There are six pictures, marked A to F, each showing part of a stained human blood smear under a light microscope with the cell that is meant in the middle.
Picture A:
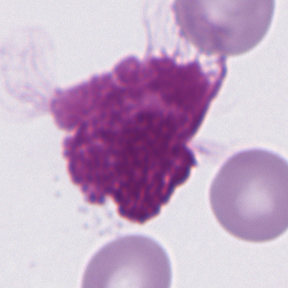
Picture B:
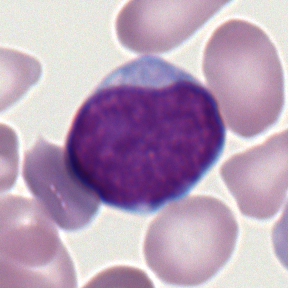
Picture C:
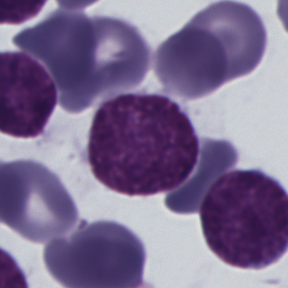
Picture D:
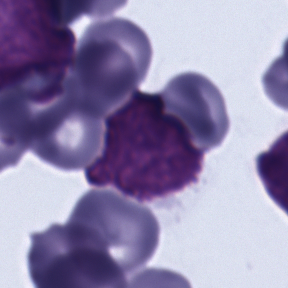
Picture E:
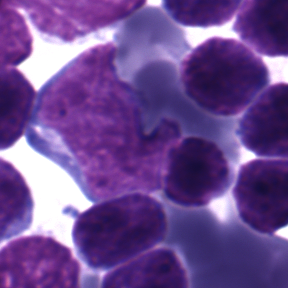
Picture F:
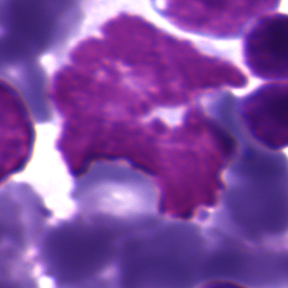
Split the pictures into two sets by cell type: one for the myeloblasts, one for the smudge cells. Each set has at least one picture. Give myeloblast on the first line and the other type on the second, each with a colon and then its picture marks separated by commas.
myeloblast: B, C, E
smudge cell: A, D, F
